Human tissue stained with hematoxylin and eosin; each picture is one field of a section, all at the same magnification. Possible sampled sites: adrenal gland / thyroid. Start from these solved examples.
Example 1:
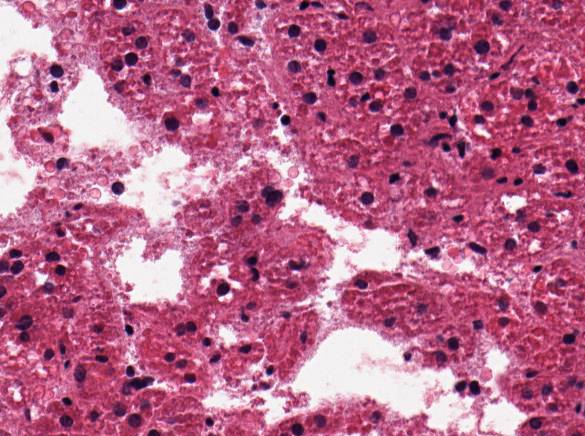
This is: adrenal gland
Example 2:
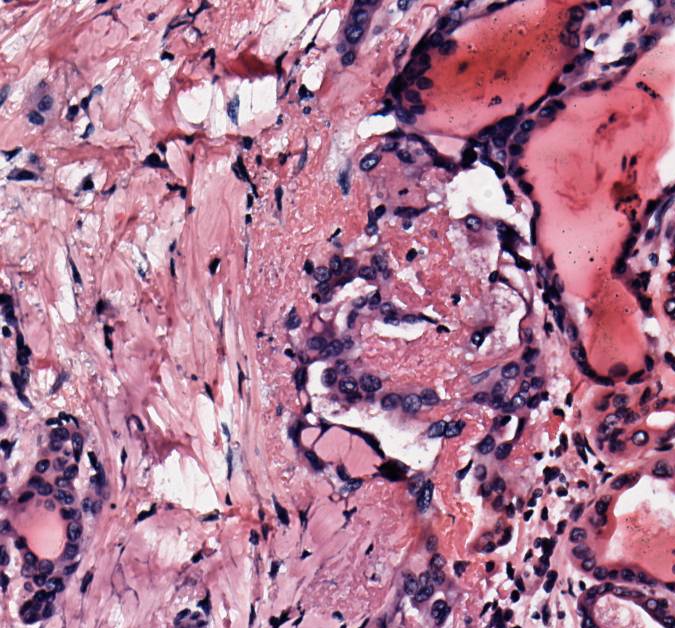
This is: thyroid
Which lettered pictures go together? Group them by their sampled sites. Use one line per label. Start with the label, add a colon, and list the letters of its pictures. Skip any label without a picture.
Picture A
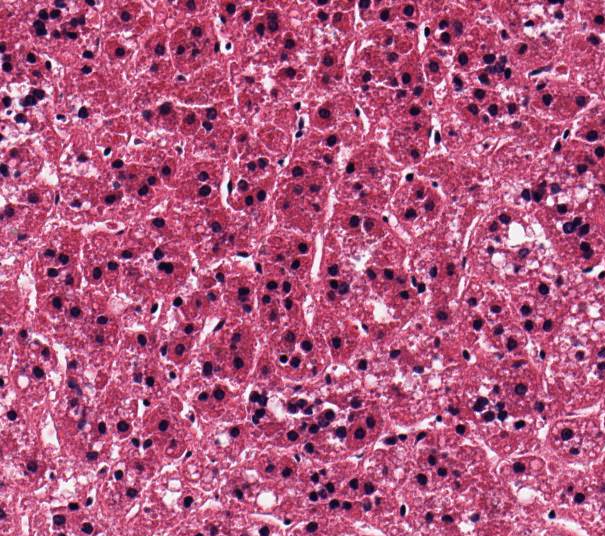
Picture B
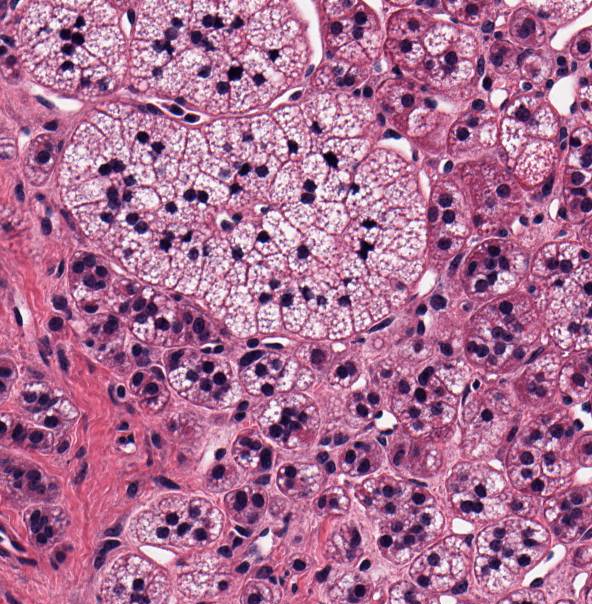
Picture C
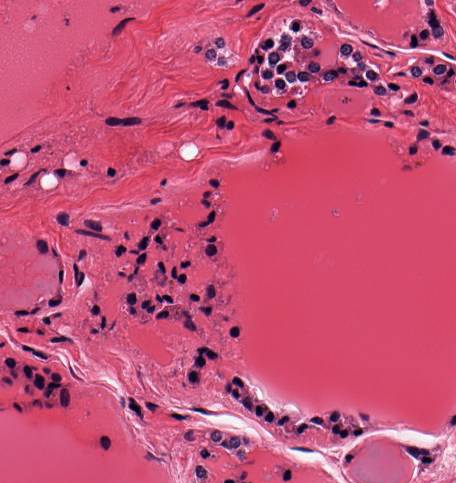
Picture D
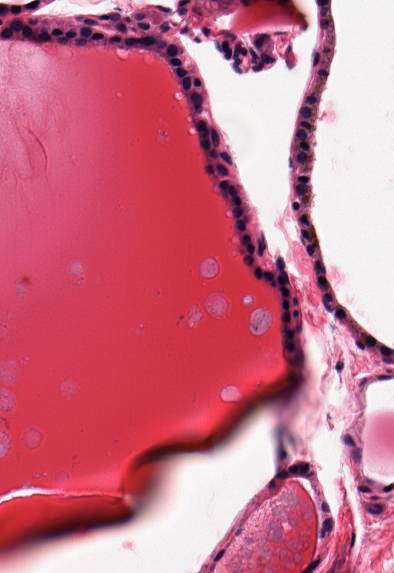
adrenal gland: A, B
thyroid: C, D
